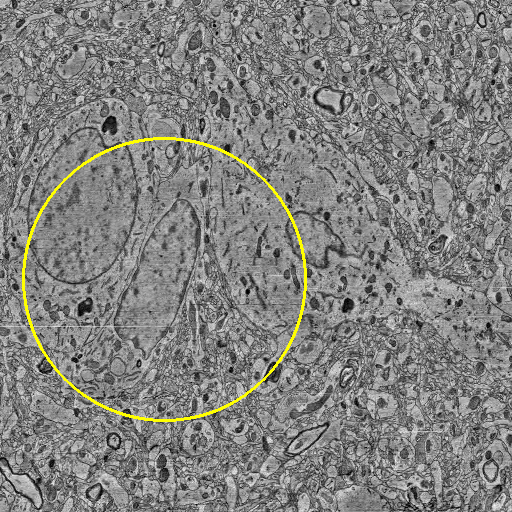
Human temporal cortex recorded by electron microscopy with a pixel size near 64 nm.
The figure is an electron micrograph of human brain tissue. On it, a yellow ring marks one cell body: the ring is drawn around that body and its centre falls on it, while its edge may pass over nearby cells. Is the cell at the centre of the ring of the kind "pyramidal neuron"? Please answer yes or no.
no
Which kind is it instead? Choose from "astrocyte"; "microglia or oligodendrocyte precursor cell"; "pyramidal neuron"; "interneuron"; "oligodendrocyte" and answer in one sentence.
This picture has a microglial cell or oligodendrocyte precursor cell at the centre of its ring.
